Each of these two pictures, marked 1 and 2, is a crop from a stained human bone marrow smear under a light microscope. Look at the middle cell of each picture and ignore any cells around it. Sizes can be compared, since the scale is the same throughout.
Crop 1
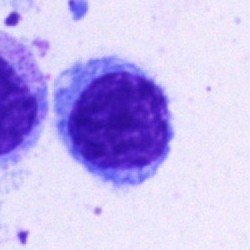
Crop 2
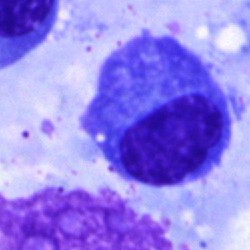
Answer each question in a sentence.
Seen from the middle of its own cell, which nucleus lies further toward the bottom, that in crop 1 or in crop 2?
The nucleus in crop 2 lies further toward the bottom of its cell.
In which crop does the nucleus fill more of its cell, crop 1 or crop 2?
It is the cell in crop 1 that is filled more by its nucleus.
